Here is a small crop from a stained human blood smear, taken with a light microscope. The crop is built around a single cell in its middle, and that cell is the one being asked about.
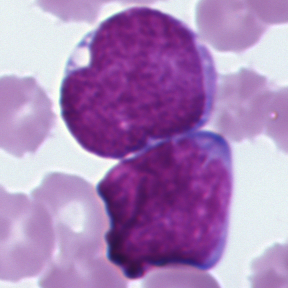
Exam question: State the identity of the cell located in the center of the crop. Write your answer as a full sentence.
The cell found in the middle of this crop is a myeloblast.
